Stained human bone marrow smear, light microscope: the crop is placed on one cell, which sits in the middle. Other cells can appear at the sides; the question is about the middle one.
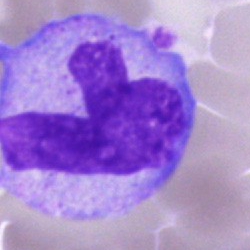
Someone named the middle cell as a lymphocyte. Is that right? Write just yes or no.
no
